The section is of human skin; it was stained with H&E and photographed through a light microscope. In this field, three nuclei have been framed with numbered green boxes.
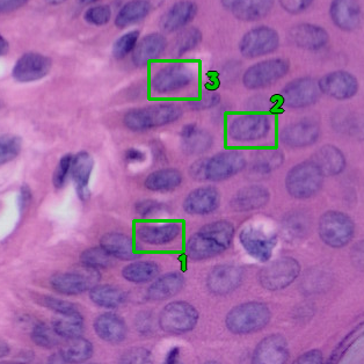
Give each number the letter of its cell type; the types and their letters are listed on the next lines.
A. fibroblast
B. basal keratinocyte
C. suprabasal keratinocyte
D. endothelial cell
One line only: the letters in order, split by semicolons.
B; C; B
